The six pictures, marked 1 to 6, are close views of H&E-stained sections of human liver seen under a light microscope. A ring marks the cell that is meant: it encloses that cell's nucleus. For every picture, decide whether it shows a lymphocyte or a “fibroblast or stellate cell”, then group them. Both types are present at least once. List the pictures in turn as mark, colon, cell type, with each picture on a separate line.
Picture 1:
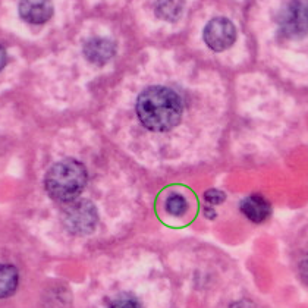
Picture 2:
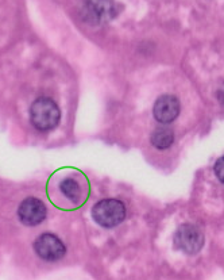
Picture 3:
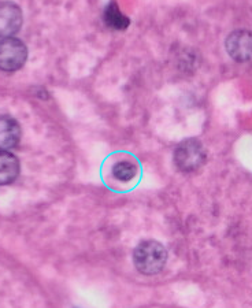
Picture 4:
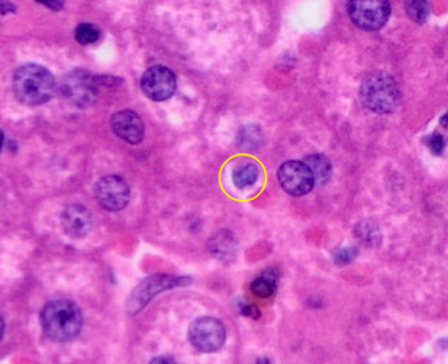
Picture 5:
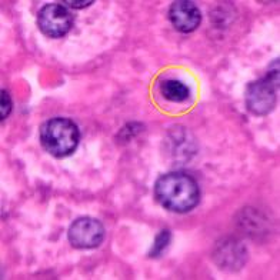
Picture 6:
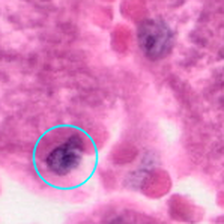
1: lymphocyte
2: fibroblast or stellate cell
3: lymphocyte
4: lymphocyte
5: lymphocyte
6: fibroblast or stellate cell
